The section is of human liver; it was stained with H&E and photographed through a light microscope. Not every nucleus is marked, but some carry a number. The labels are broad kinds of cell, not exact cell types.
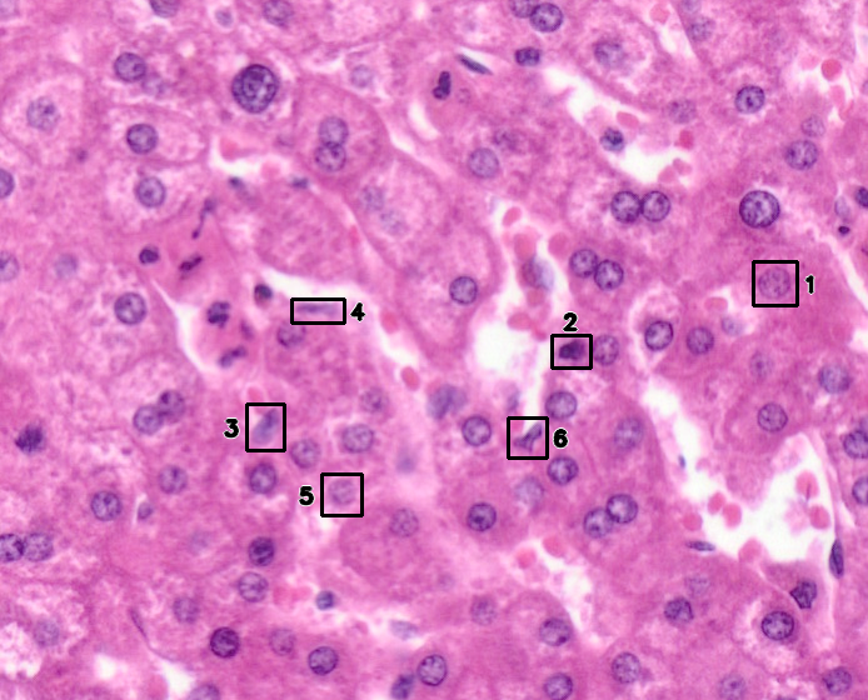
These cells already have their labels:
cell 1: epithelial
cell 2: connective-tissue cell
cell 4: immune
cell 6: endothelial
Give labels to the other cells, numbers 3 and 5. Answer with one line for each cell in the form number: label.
3: endothelial
5: epithelial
